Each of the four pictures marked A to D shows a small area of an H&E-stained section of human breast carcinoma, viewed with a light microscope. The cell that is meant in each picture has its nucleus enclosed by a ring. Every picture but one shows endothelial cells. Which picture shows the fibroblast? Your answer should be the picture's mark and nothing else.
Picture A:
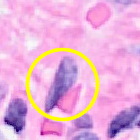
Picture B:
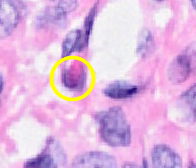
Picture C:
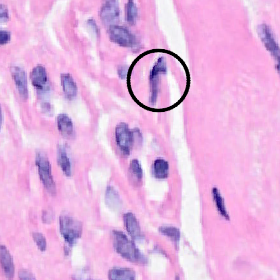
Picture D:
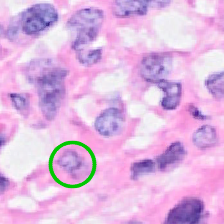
C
